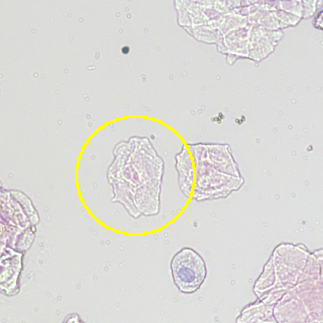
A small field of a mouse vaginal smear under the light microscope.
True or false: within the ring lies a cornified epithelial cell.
True: a cornified epithelial cell lies within the ring.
